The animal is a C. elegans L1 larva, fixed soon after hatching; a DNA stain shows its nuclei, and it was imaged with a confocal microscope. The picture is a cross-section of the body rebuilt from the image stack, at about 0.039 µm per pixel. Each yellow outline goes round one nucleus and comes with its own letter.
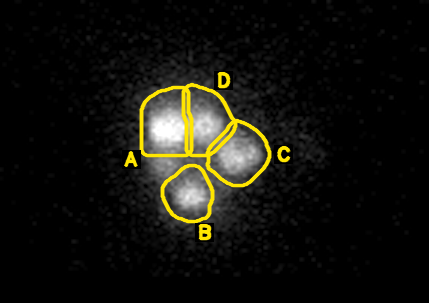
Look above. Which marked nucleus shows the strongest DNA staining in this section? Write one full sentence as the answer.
Nucleus A shows the strongest staining.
